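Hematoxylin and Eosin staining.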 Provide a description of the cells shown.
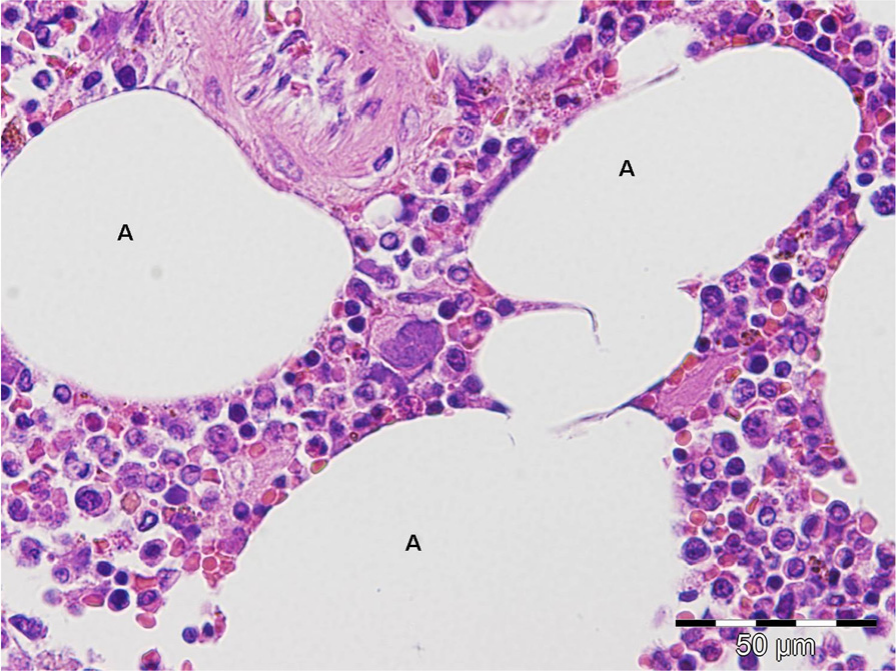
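This field shows mature adipocytes intermixed with haematopoietic cells. Several large, clear, round to oval fat vacuoles with thin membrane rims dominate the field, and the spaces between them are packed with small round cells. Many of these have round, dark purple nuclei with scant cytoplasm; others have paler, more open nuclei and pink-purple cytoplasm, and small pink-red anucleate cells are scattered throughout. Near the centre lies one much larger cell with abundant cytoplasm and a big lobulated purple nucleus. At the top, a pale pink band of fibrous tissue with elongated nuclei is present, and fine brown granules are seen in places.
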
